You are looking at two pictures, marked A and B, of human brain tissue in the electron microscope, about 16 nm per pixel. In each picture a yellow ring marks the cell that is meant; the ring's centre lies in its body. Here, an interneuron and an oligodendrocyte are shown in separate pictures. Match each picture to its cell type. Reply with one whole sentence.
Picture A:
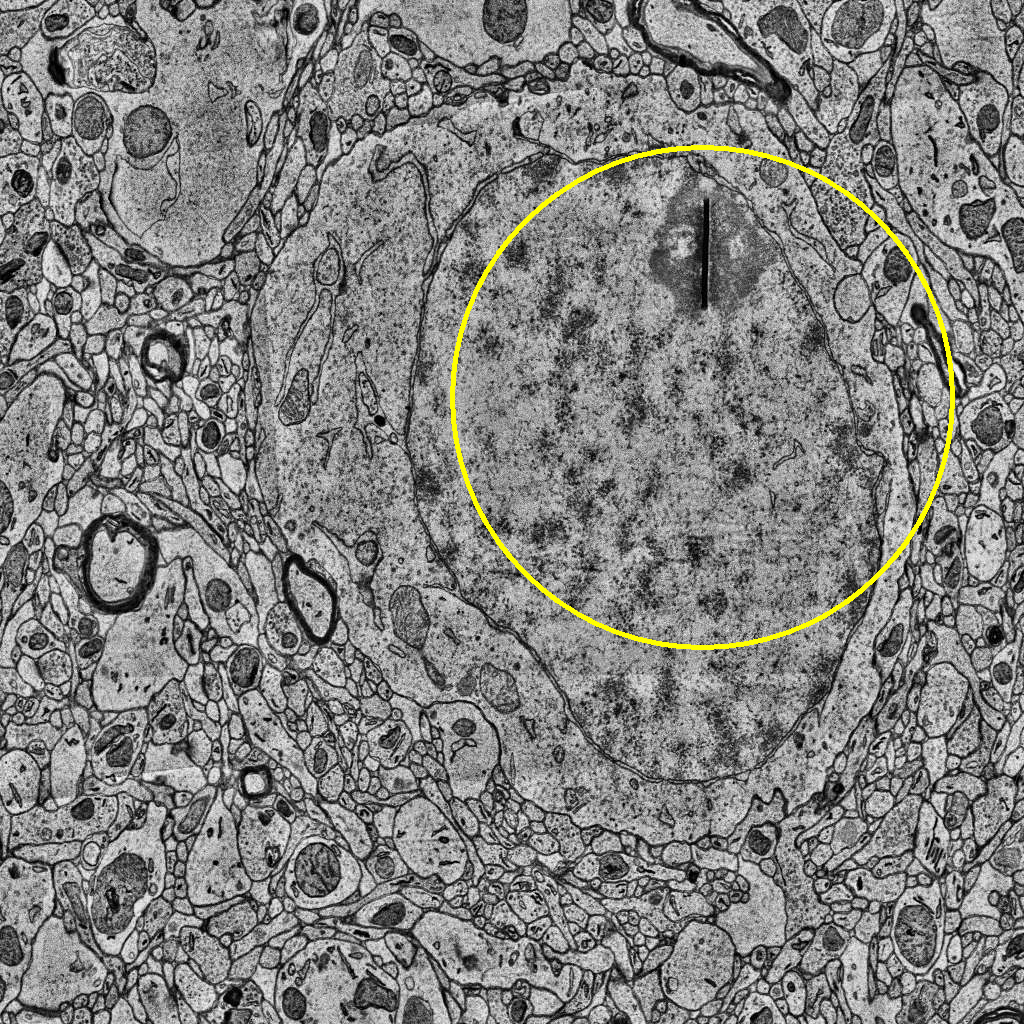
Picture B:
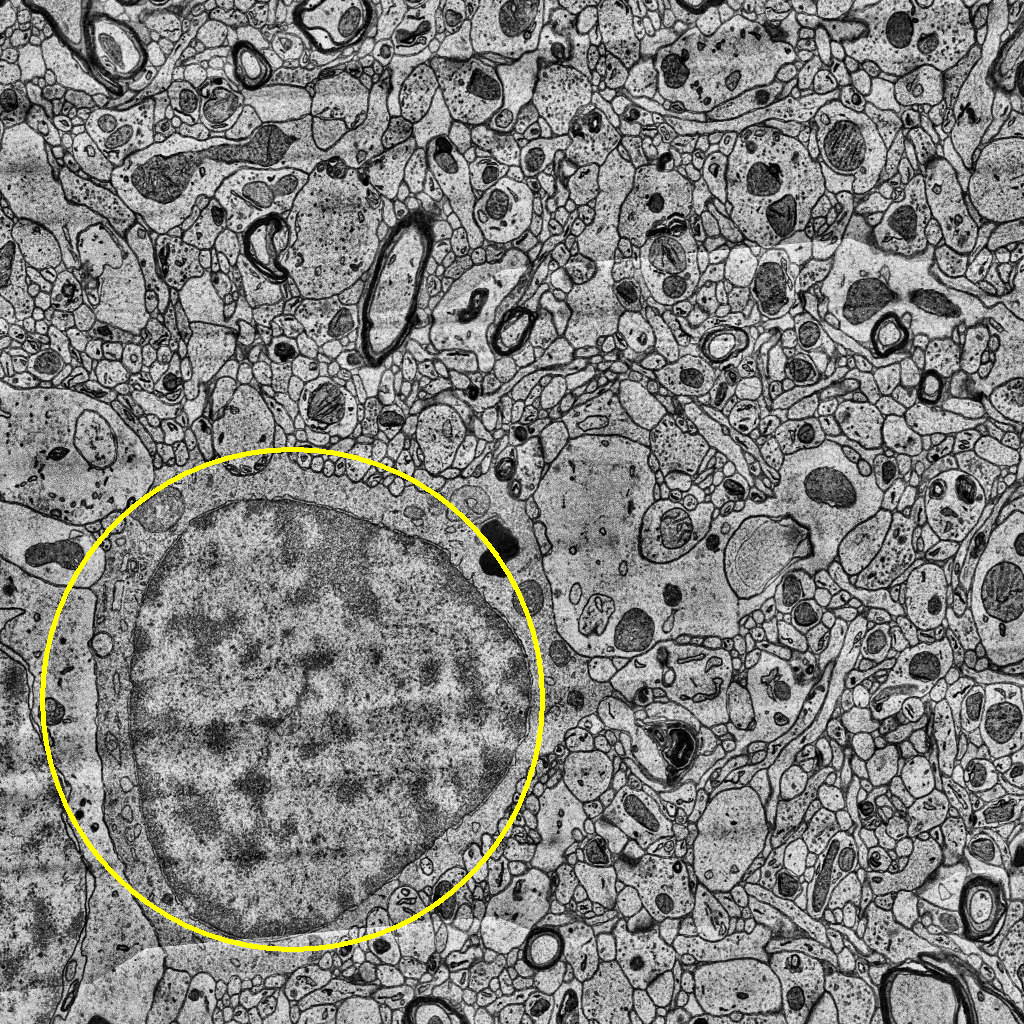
Picture B shows an oligodendrocyte, while picture A shows an interneuron.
